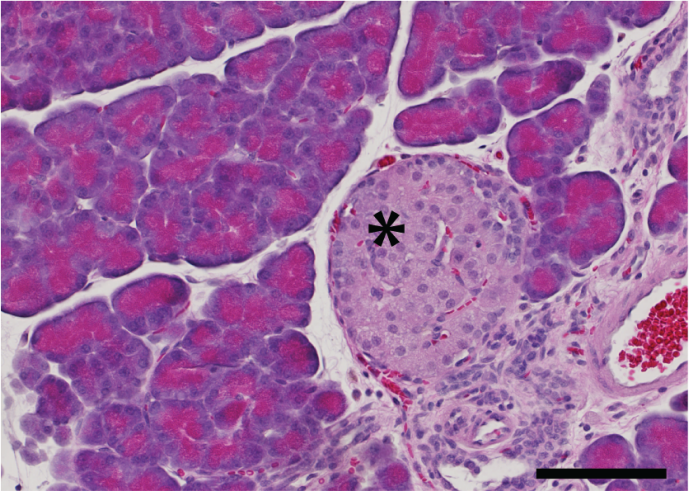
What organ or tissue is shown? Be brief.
Pancreas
